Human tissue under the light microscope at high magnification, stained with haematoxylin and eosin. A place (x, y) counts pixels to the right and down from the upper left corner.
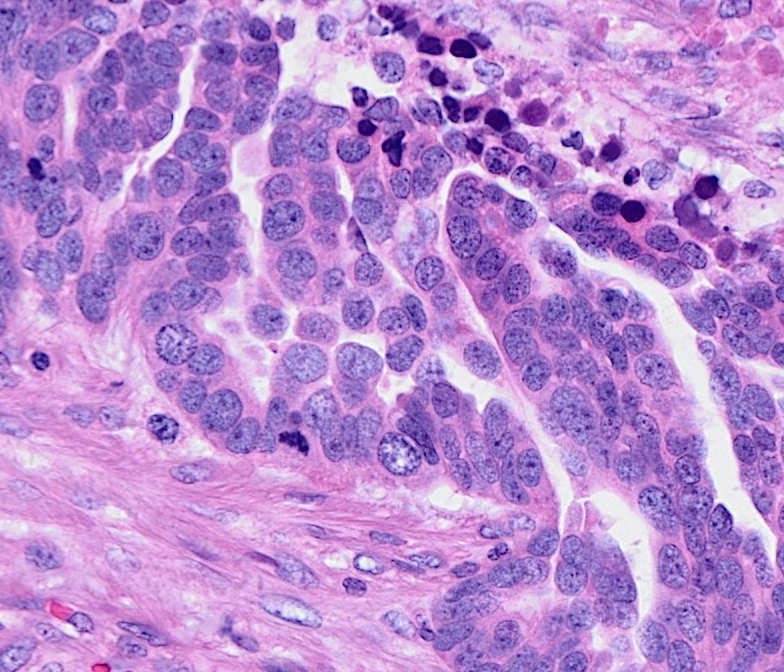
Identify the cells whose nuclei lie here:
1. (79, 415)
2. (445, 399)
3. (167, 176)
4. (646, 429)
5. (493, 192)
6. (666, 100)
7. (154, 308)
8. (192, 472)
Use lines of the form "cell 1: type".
cell 1: fibroblast
cell 2: carcinoma cell
cell 3: carcinoma cell
cell 4: carcinoma cell
cell 5: carcinoma cell
cell 6: fibroblast
cell 7: carcinoma cell
cell 8: fibroblast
